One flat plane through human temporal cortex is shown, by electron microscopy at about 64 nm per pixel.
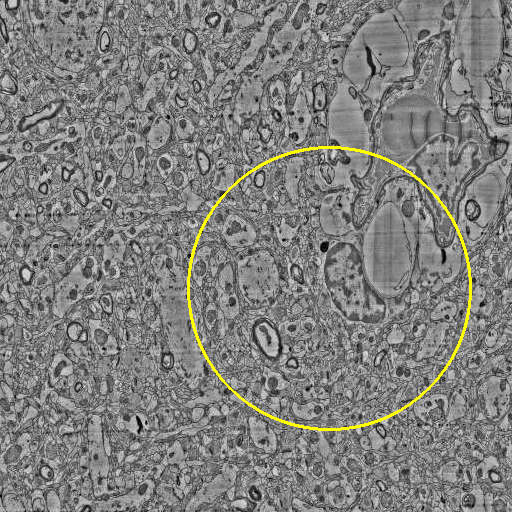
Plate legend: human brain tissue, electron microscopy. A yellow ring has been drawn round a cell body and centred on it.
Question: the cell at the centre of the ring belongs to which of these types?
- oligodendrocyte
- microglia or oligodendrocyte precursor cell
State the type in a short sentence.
The cell in the middle of the ring is a microglial cell or oligodendrocyte precursor cell.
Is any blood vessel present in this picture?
Yes, one shows.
